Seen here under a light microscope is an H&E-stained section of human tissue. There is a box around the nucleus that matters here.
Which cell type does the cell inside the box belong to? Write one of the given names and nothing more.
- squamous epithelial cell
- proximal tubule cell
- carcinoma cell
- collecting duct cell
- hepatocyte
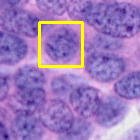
carcinoma cell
